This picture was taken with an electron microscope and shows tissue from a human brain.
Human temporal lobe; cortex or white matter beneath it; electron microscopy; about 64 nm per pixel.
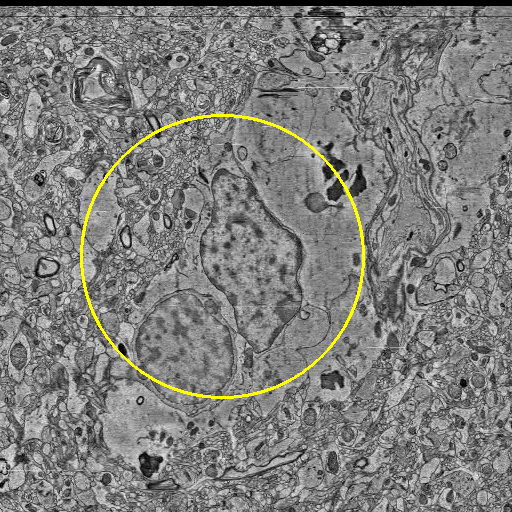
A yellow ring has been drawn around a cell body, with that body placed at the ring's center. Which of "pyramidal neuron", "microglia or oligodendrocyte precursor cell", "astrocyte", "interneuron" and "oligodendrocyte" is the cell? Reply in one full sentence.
In this picture, a microglial cell or oligodendrocyte precursor cell is the cell at the center of the yellow ring.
